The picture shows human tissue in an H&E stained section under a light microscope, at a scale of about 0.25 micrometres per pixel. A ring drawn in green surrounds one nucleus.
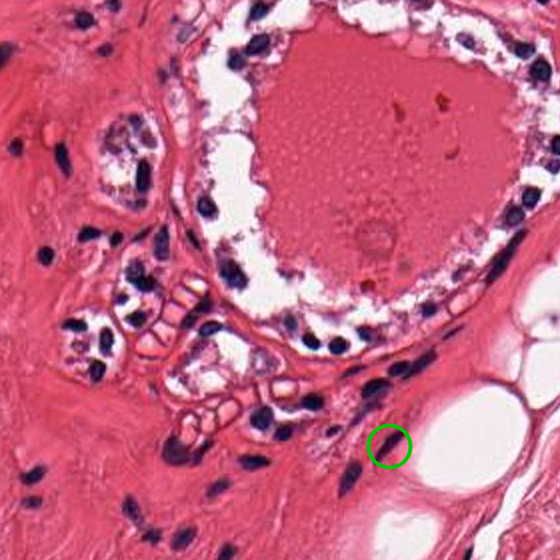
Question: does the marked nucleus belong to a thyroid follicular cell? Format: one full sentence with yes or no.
No, the marked nucleus is located in a supporting cell and not in a thyroid follicular cell.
